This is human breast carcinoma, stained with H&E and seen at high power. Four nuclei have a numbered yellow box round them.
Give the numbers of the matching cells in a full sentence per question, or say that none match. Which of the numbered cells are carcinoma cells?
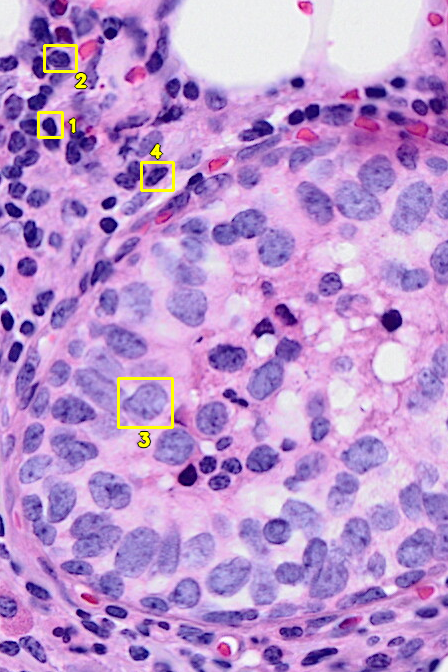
Among the marked cells, a carcinoma cell is found only at number 3.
